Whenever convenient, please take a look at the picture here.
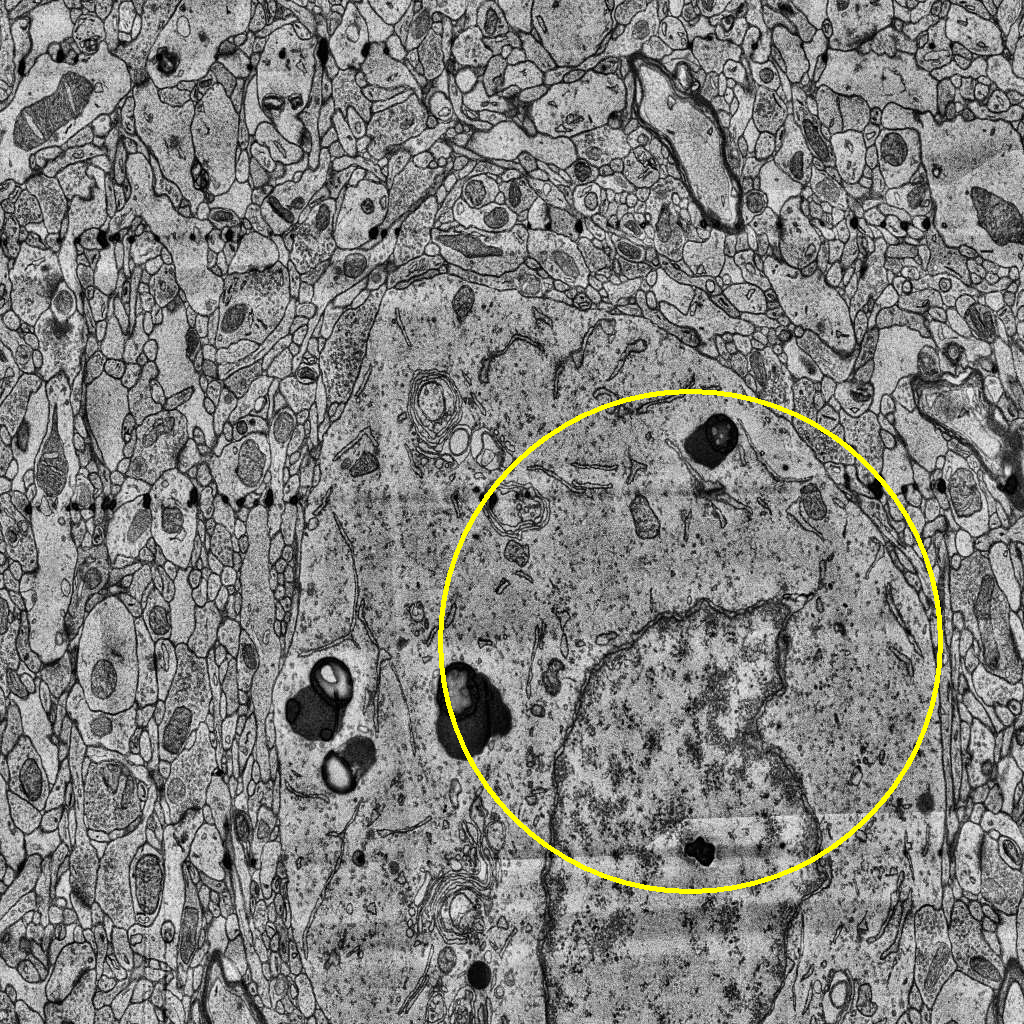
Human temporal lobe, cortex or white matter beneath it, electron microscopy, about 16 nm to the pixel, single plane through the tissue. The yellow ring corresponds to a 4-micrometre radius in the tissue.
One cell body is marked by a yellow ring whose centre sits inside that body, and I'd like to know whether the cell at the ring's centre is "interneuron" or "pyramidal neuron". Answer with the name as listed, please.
pyramidal neuron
